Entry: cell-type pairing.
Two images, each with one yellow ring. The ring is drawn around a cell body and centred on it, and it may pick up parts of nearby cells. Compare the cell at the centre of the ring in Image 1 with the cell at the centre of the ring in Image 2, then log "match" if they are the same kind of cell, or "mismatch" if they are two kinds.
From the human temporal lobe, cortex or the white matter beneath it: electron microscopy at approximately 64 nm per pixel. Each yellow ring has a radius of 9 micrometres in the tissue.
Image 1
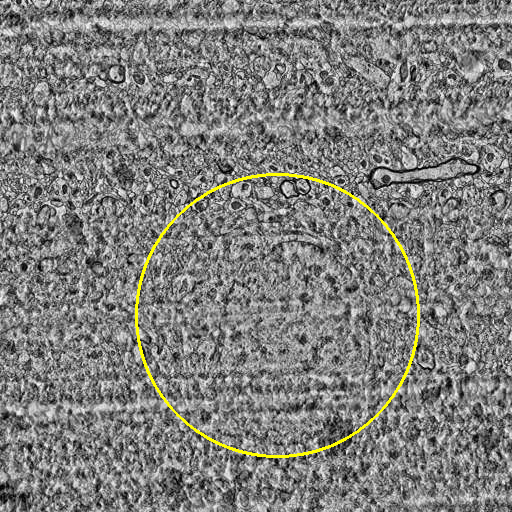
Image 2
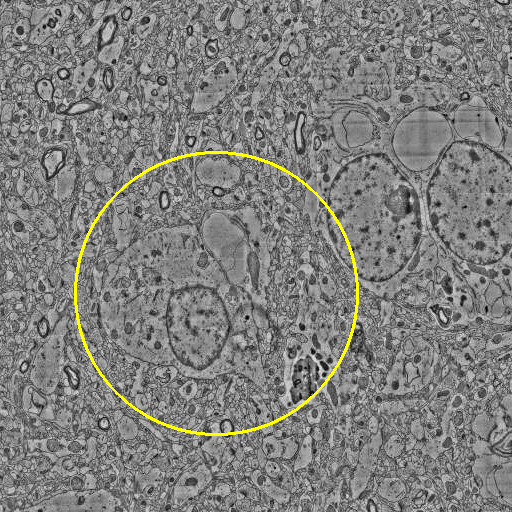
match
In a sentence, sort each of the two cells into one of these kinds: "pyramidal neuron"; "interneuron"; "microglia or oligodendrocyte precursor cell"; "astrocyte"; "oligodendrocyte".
The first and the second cell are each a pyramidal neuron.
